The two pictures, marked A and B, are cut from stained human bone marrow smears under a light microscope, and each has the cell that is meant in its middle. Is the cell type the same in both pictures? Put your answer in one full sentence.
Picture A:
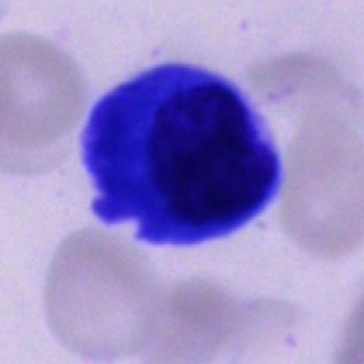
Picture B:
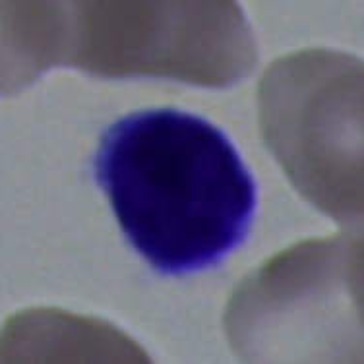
No, they differ: the cell is a plasma cell in picture A and a lymphocyte in picture B.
